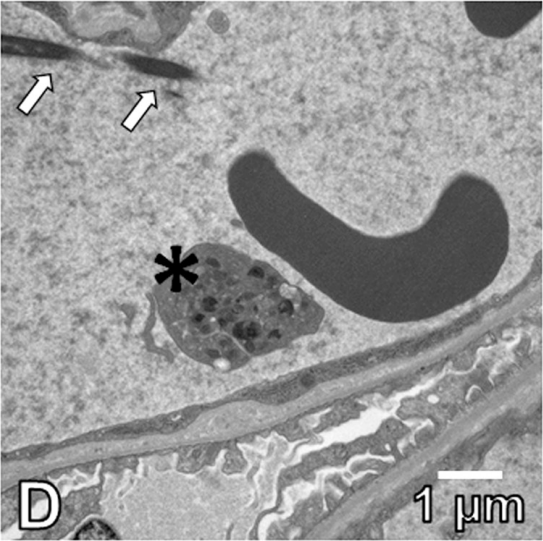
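This is a glomerular capillary lumen seen by transmission electron microscopy, containing a platelet, a red blood cell and fibrin tactoids. The platelet is a small anucleate oval profile filled with dark granules, lying close to the capillary wall. At the top, dark elongated spindle-shaped fibrin tactoids lie near the edge of the lumen. The lumen is bounded below by the layered capillary wall with its basement membrane.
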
